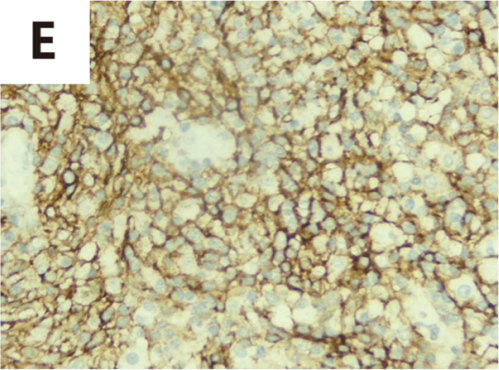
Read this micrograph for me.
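This tumor tissue has densely packed neoplastic cells with pale, clear-looking cytoplasm. A brown stain traces the outline of nearly every cell, giving a fine, net-like pattern across the field. The nuclei are small and pale blue inside the outlined cells.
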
